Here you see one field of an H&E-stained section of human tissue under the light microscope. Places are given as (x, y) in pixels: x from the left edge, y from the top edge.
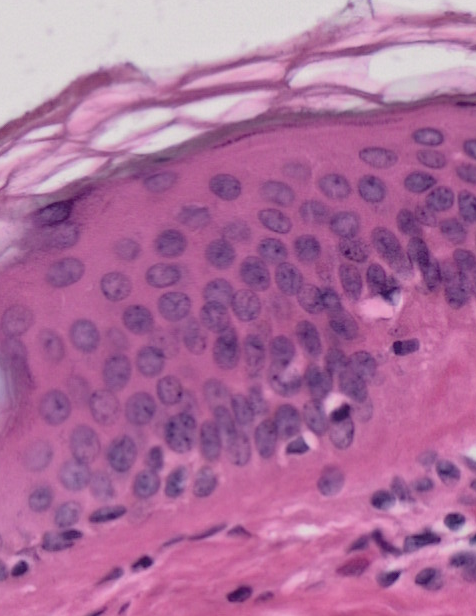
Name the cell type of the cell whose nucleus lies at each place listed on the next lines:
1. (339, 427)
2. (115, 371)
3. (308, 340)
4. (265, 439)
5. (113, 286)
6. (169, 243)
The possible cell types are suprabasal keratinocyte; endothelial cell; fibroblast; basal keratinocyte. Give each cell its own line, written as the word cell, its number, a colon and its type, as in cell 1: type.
cell 1: basal keratinocyte
cell 2: suprabasal keratinocyte
cell 3: basal keratinocyte
cell 4: basal keratinocyte
cell 5: suprabasal keratinocyte
cell 6: suprabasal keratinocyte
